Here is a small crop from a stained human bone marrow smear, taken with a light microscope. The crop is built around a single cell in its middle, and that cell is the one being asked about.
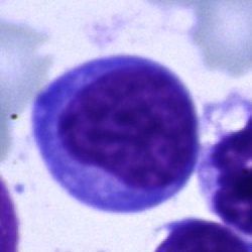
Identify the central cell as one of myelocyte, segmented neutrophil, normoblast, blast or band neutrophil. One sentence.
The cell at the central position in this crop is a blast.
